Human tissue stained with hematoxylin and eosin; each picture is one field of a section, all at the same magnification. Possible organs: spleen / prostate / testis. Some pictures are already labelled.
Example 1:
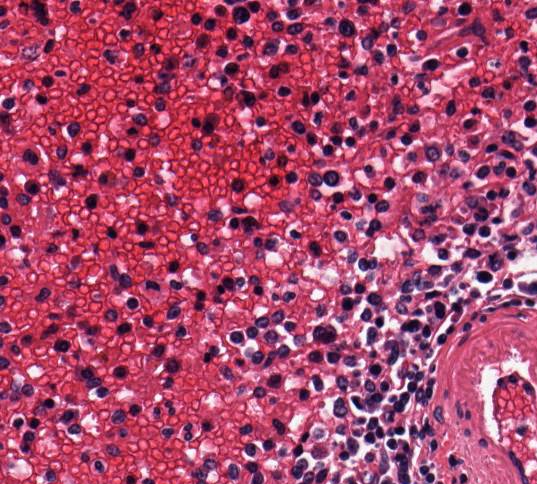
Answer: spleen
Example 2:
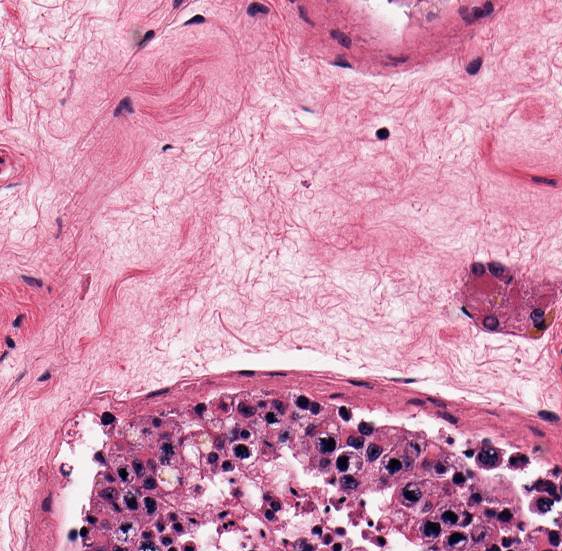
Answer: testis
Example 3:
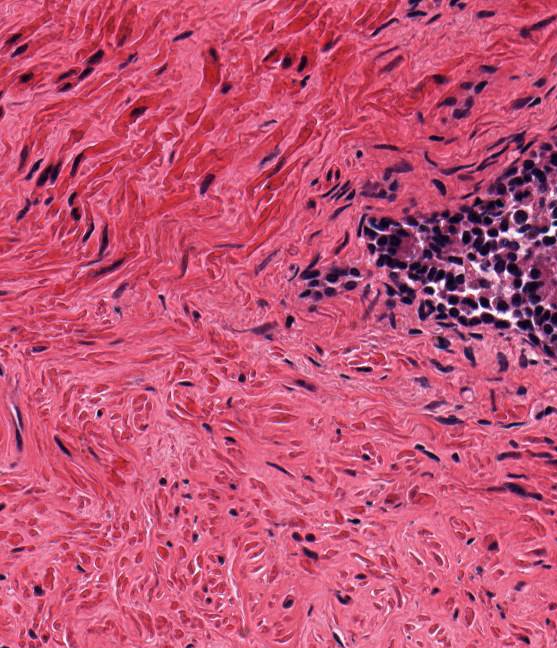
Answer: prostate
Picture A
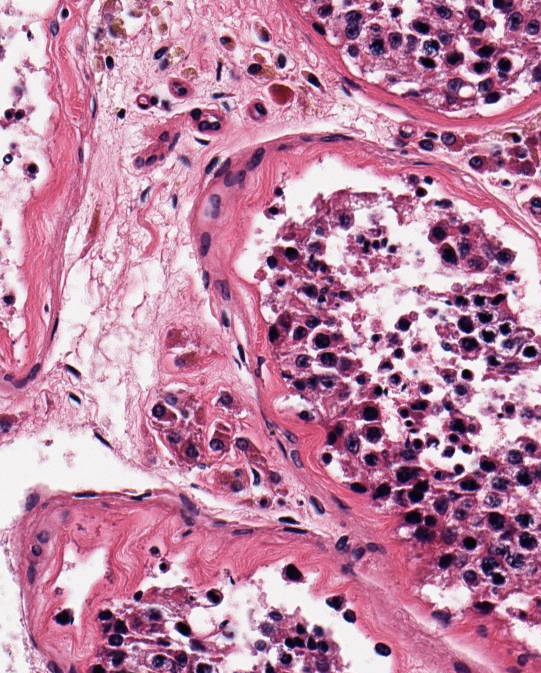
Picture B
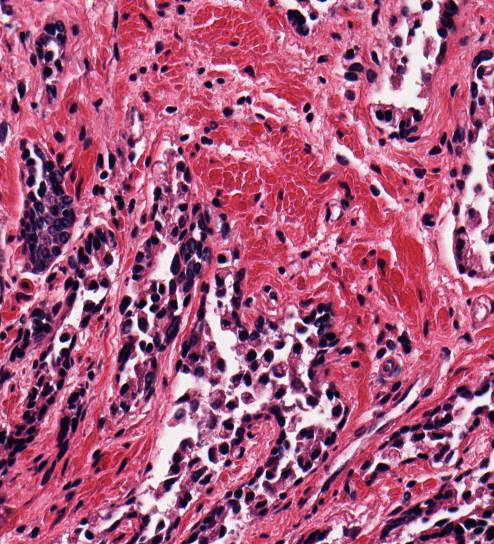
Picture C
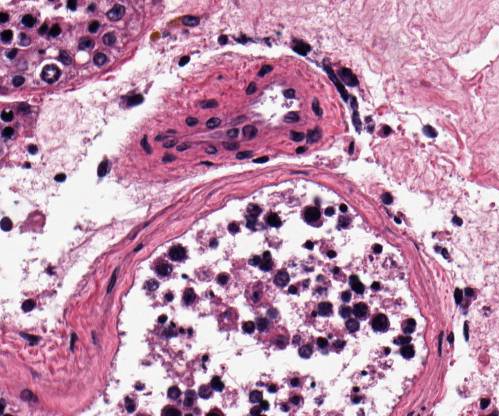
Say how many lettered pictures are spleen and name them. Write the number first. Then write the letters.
0, none of them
